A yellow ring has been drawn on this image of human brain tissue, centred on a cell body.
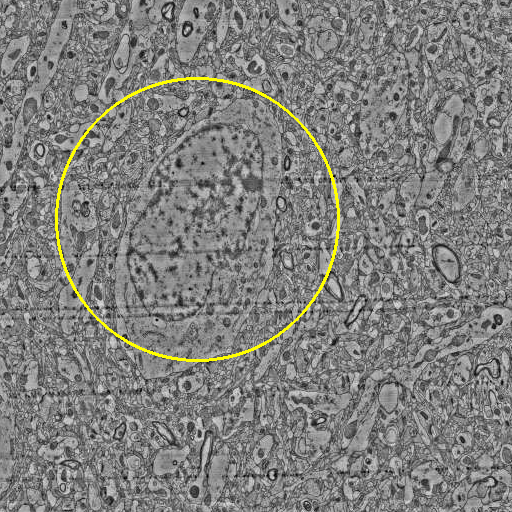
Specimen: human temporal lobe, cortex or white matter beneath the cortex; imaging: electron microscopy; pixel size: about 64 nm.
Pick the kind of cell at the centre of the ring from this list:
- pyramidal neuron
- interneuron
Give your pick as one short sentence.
The centre of the ring holds an interneuron.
